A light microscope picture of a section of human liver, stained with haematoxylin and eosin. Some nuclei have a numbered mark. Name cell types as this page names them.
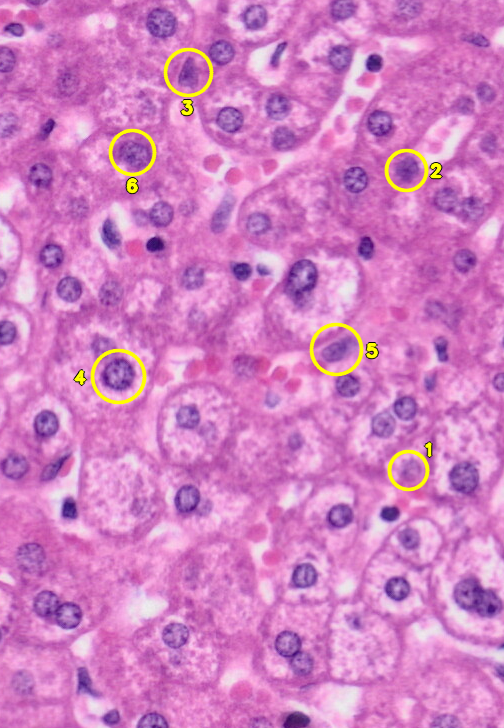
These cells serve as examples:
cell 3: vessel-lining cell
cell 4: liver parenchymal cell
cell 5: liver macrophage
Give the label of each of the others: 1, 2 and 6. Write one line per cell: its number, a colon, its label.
1: liver parenchymal cell
2: vessel-lining cell
6: liver parenchymal cell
